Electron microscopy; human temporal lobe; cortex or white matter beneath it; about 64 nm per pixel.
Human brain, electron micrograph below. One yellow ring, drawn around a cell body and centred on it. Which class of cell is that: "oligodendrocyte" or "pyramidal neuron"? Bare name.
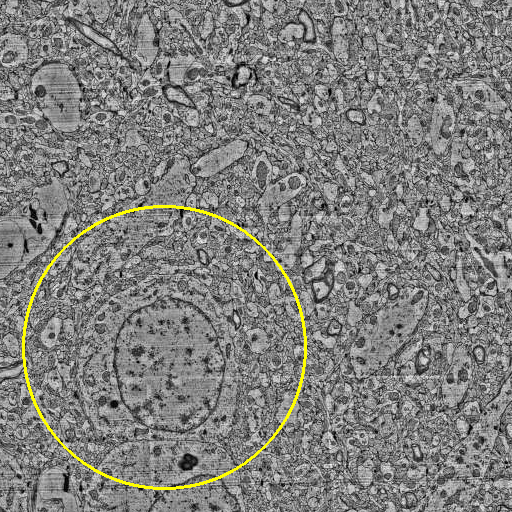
pyramidal neuron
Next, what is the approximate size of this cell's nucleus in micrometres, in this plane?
In this plane, the nucleus of the cell at the centre of the ring measures about 9 by 7 micrometres.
